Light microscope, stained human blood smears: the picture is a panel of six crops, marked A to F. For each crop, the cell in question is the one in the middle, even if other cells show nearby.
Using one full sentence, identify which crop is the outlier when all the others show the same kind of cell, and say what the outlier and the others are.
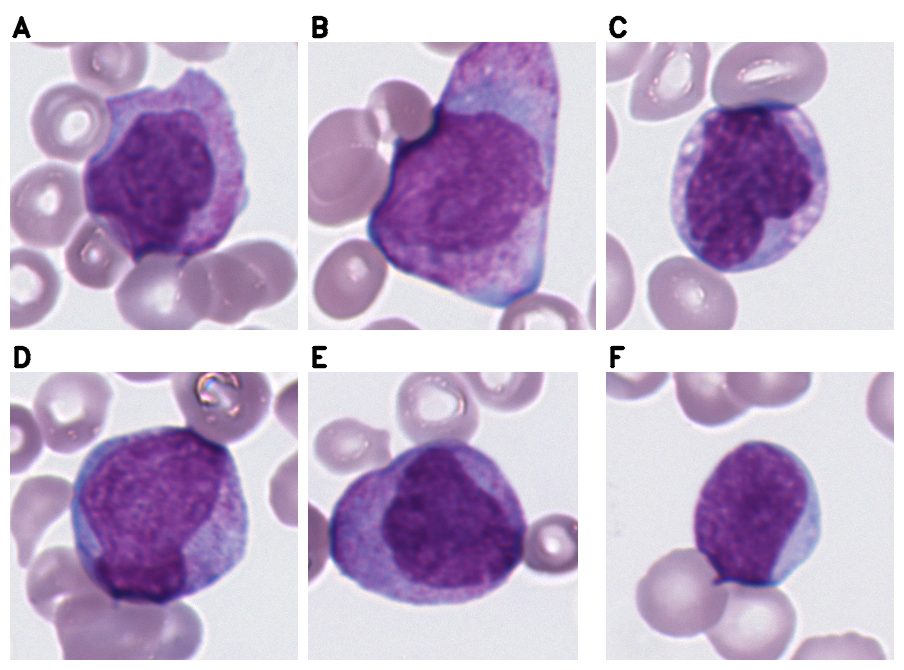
Only crop F differs, being a myeloblast, while the others all show atypical promyelocytes.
